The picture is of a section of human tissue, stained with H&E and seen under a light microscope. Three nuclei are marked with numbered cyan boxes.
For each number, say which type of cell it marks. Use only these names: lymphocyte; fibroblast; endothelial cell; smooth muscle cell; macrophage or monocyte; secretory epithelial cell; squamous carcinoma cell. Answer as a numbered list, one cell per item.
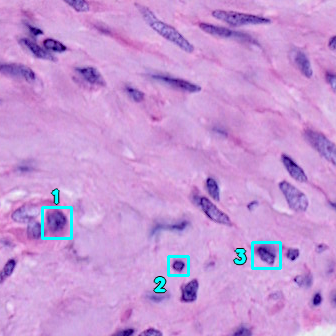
1. endothelial cell
2. fibroblast
3. fibroblast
